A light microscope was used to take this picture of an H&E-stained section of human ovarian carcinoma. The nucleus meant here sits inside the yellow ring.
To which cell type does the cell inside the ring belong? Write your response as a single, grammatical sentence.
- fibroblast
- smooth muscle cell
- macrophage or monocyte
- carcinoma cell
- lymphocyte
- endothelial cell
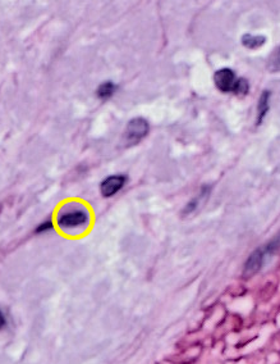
Considered by cell type, the cell inside the ring is a lymphocyte.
